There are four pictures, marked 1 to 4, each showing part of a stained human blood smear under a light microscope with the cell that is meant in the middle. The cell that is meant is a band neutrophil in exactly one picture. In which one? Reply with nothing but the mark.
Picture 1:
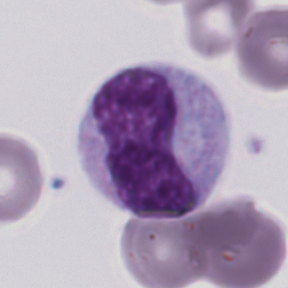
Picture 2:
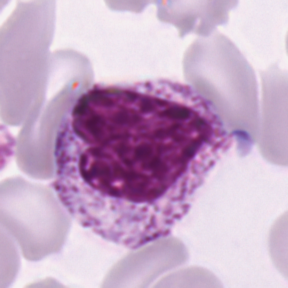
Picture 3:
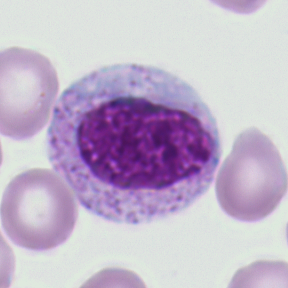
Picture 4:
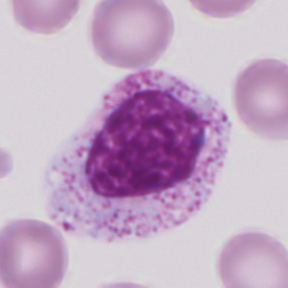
2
